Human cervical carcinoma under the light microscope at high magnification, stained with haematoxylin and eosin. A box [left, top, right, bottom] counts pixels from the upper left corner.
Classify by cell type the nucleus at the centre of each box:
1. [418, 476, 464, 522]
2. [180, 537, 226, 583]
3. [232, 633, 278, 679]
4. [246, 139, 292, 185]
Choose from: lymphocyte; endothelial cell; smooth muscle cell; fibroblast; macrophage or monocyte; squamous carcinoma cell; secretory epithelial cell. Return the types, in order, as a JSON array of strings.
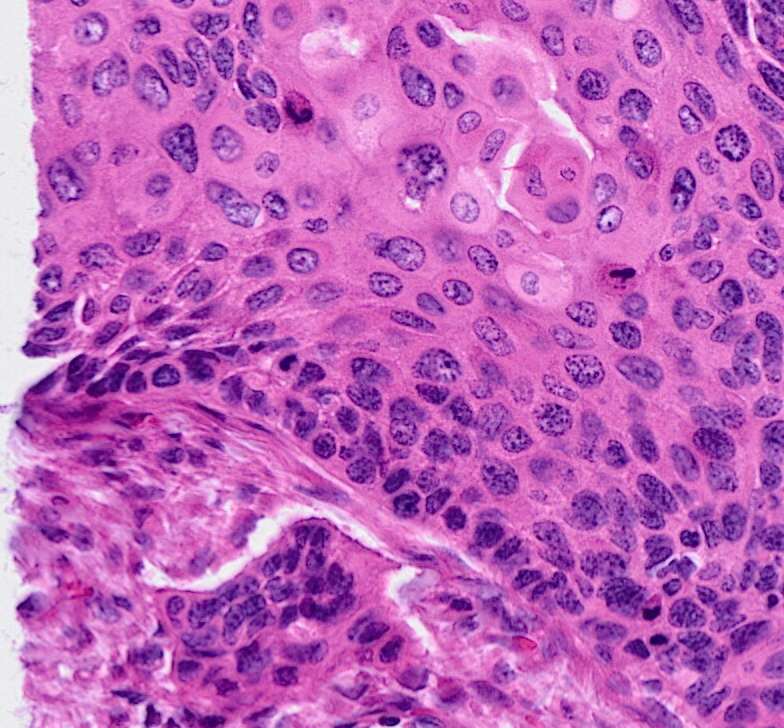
["squamous carcinoma cell", "fibroblast", "squamous carcinoma cell", "squamous carcinoma cell"]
